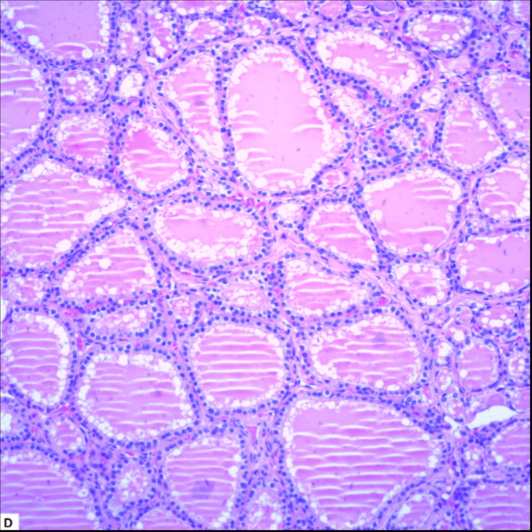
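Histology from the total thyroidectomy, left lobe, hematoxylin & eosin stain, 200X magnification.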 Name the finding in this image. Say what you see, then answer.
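Peripheral scalloping of colloid. Follicles filled with pink colloid. Rows of clear vacuoles line the colloid edge next to the epithelium.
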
